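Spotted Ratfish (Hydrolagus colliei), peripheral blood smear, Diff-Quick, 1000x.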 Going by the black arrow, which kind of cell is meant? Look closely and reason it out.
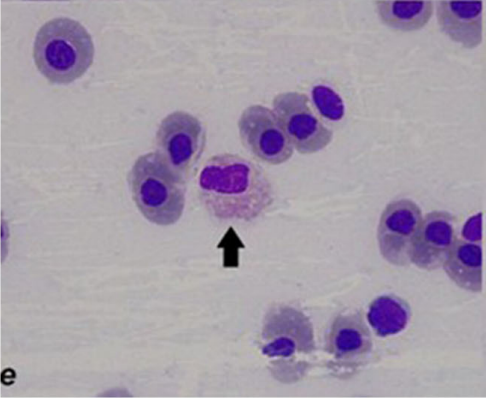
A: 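The marked cell is round with pale cytoplasm holding fine pinkish granules. Its nucleus is lobed, purple and set to one side. That points to this answer: fine eosinophilic granulocyte.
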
